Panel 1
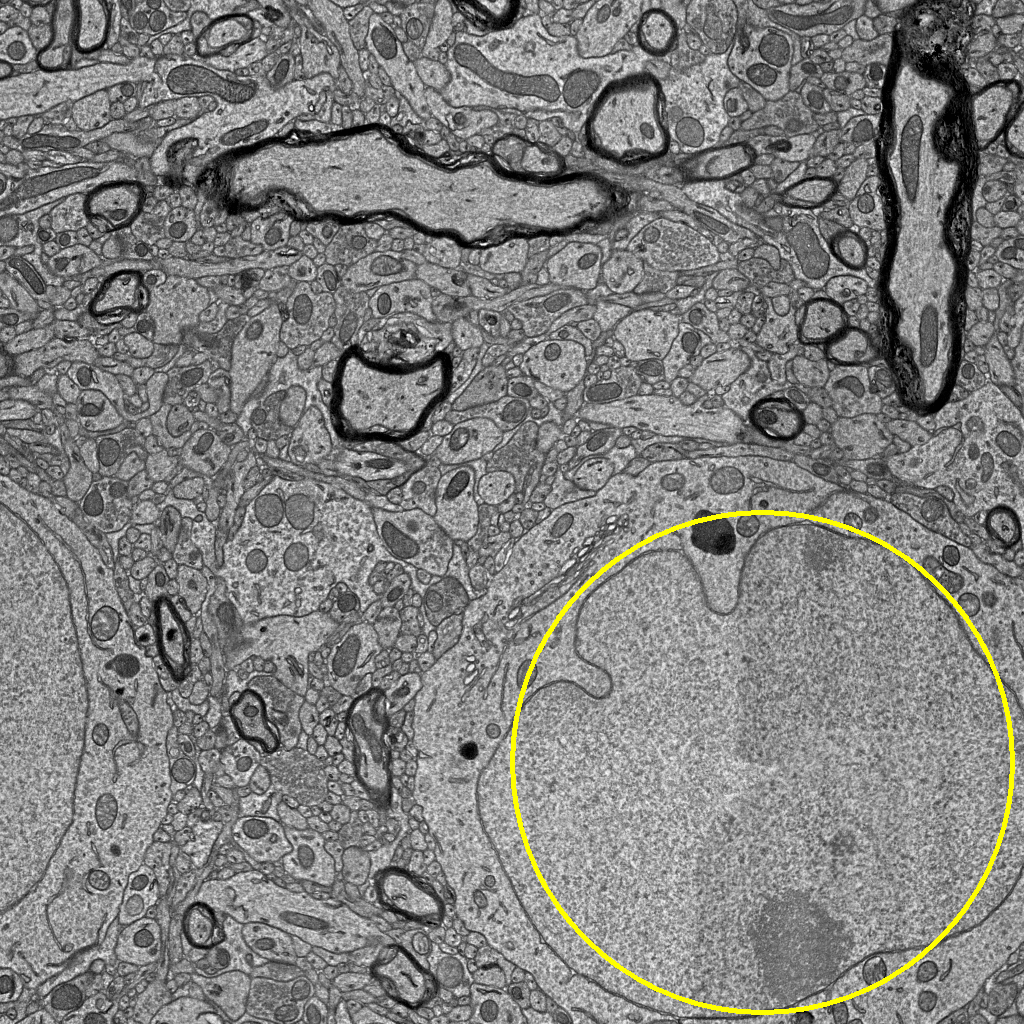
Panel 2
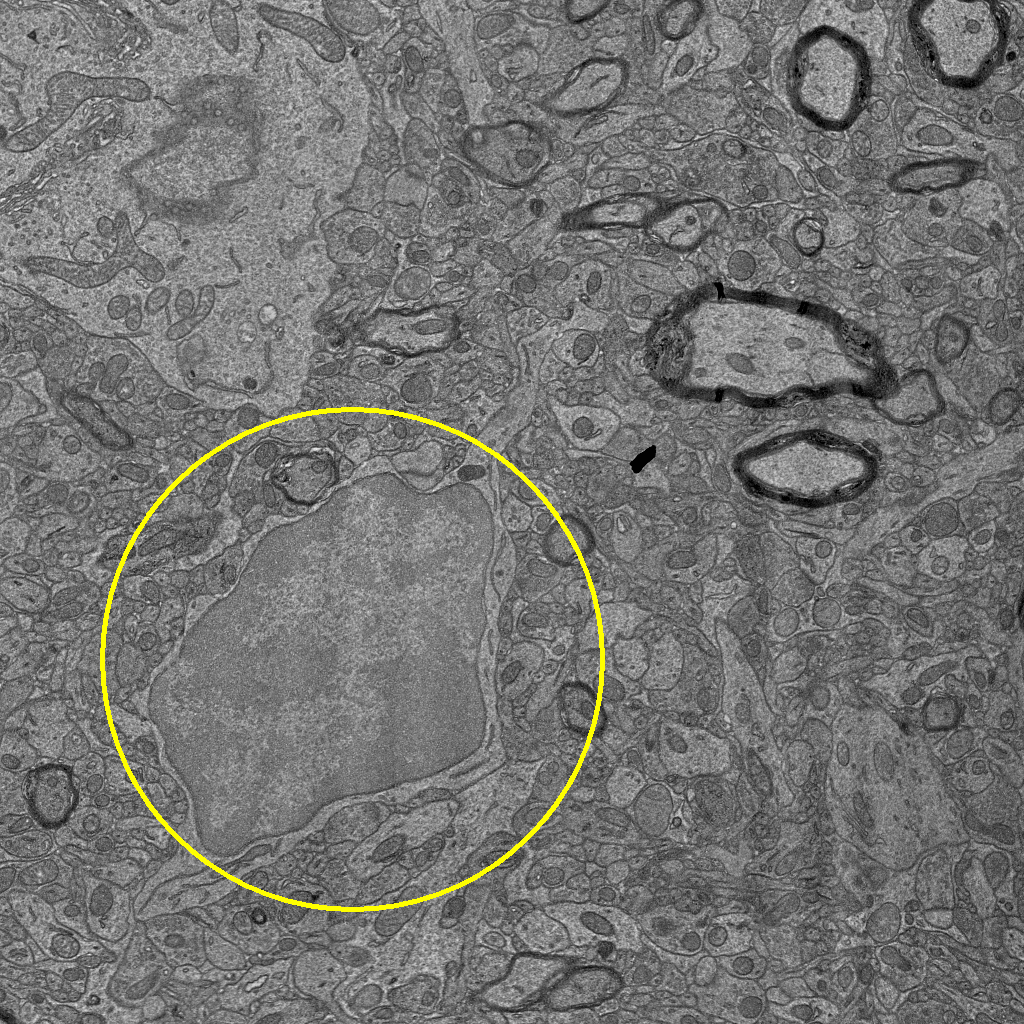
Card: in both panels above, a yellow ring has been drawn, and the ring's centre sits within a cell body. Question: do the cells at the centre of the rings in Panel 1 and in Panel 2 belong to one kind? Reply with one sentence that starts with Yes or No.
No, the cells at the ring centres of Panel 1 and Panel 2 are two kinds of cell.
